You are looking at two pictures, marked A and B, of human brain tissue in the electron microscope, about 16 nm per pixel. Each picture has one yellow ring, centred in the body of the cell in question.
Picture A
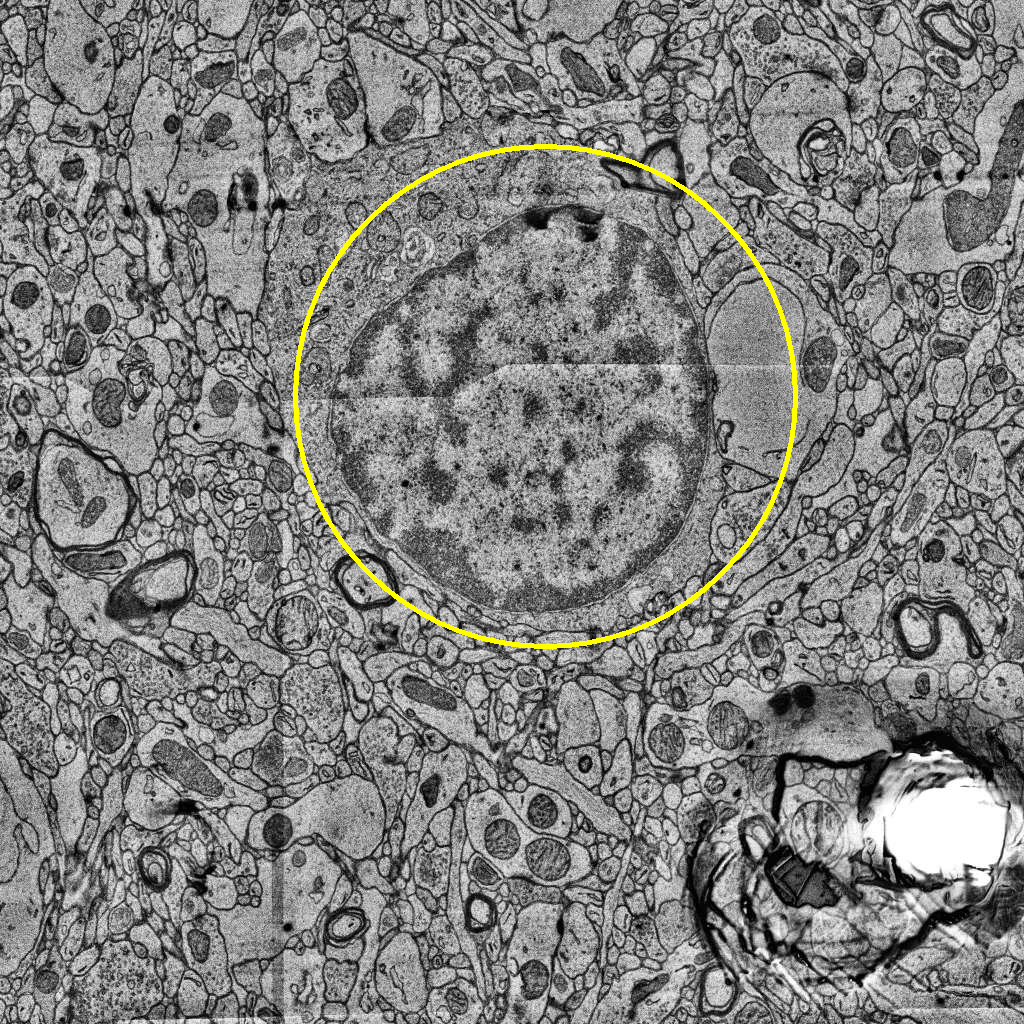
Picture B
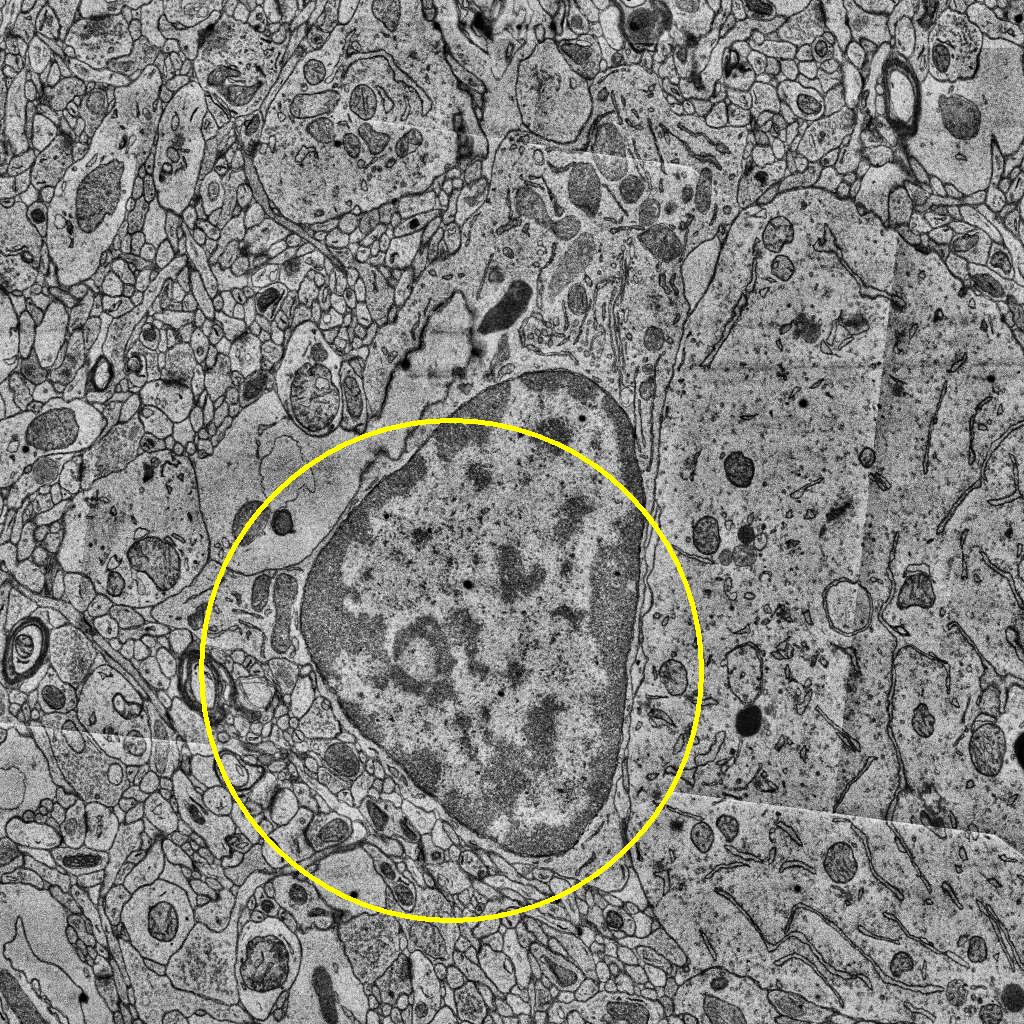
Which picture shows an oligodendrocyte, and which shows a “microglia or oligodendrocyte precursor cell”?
Picture A shows an oligodendrocyte and picture B shows a “microglia or oligodendrocyte precursor cell”.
